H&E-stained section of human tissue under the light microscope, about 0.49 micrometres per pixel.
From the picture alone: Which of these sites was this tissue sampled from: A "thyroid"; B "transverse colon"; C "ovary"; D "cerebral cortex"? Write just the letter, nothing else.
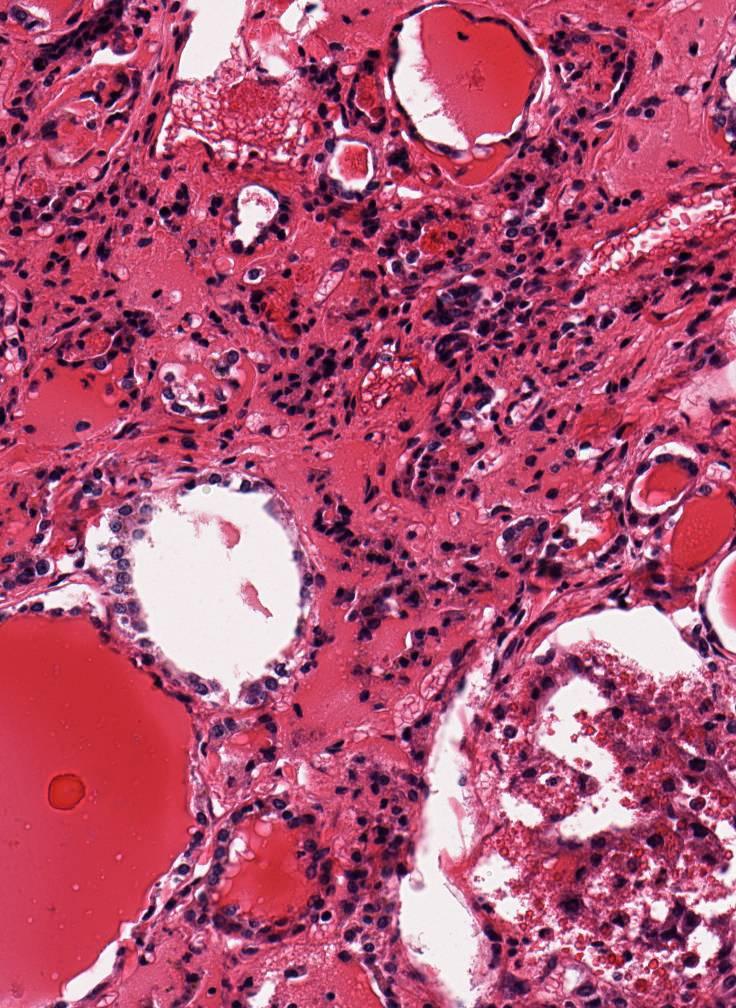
A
